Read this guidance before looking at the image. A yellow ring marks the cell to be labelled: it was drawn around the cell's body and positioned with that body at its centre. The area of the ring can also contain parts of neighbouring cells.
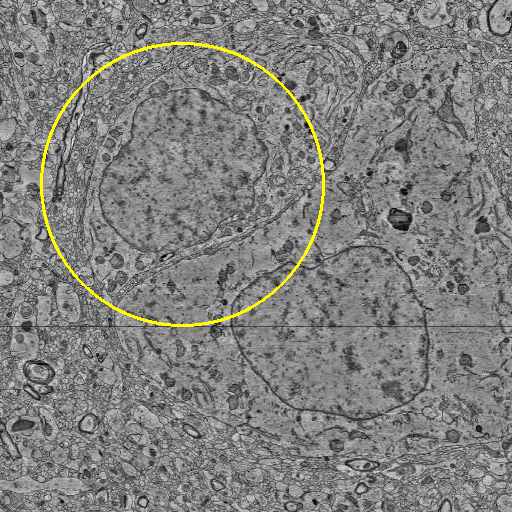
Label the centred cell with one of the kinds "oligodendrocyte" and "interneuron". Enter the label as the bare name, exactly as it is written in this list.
interneuron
